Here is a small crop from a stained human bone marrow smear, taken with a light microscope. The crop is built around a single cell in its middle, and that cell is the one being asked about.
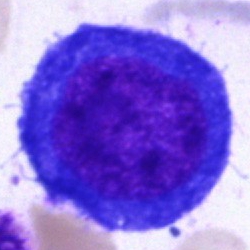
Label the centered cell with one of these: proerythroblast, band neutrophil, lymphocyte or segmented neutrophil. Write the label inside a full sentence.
Within this crop, a proerythroblast occupies the central position.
